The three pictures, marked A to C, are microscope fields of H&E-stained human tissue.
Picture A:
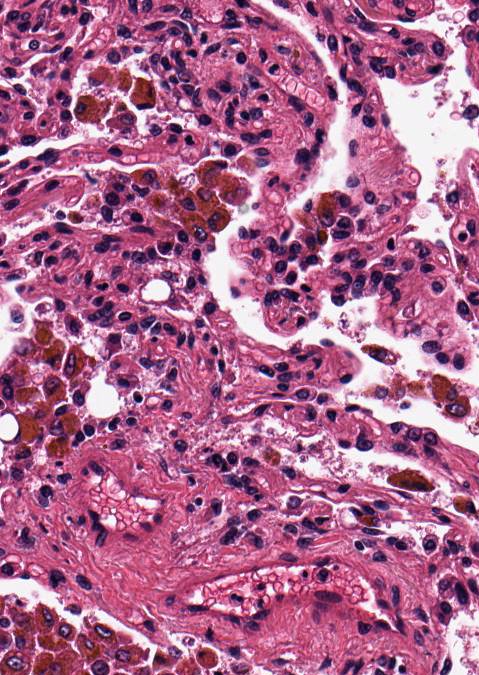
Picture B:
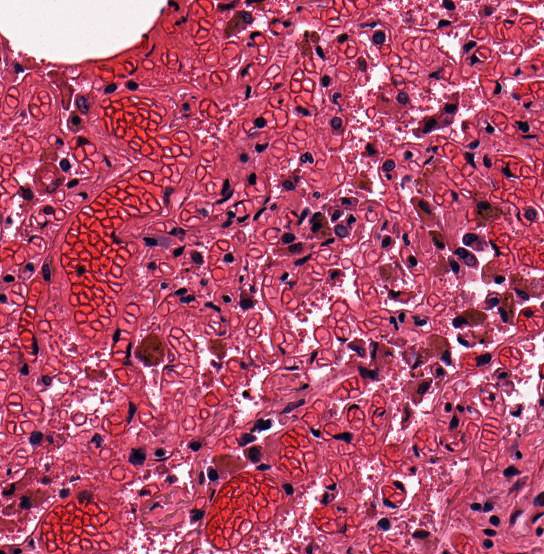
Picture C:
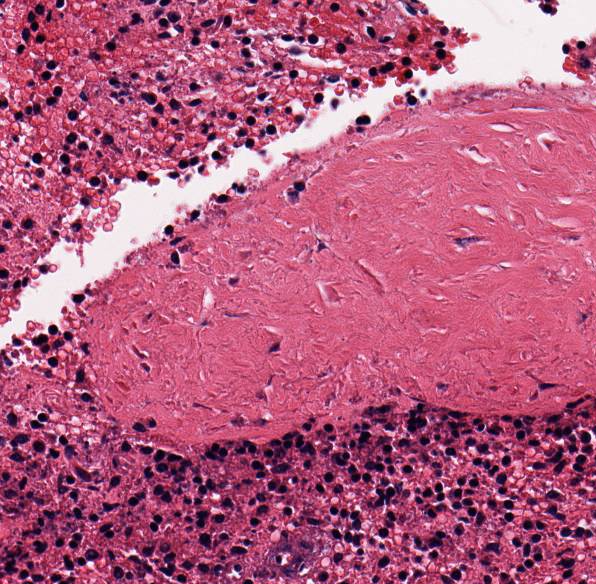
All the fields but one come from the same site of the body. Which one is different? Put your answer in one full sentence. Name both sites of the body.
The others come from the lung, but picture C comes from the spleen.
